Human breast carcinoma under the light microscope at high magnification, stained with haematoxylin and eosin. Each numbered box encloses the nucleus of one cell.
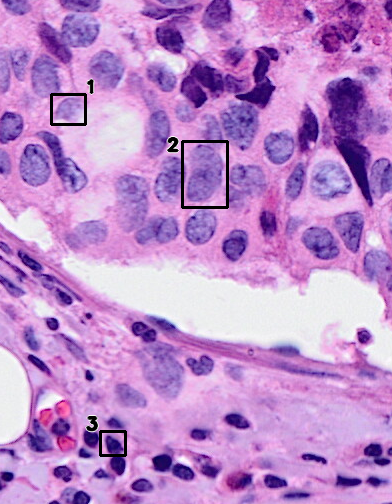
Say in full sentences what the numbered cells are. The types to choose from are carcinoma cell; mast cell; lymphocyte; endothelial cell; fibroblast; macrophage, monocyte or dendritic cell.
Cell 1 is a carcinoma cell, cell 2 is a carcinoma cell and cell 3 is a lymphocyte.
